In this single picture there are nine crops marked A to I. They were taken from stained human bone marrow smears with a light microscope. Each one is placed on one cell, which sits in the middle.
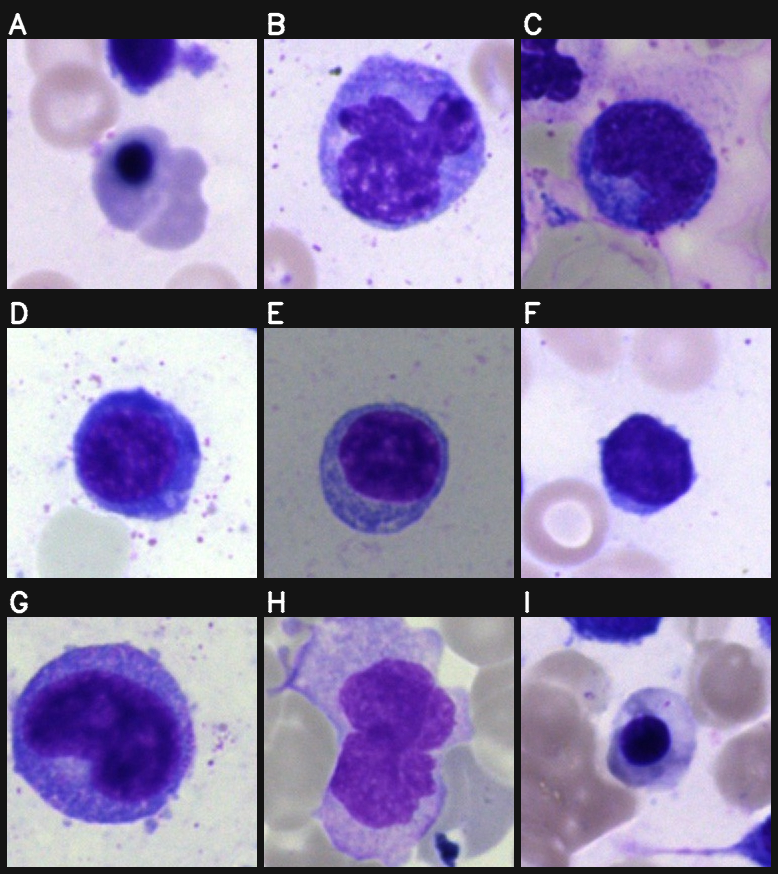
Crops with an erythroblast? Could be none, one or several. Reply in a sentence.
The cells in crops A, D and I are erythroblasts.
